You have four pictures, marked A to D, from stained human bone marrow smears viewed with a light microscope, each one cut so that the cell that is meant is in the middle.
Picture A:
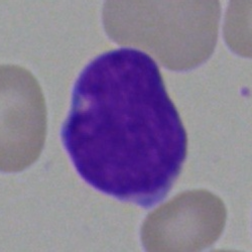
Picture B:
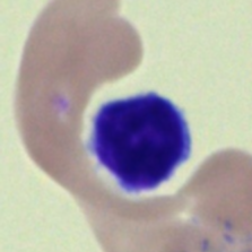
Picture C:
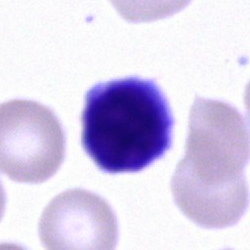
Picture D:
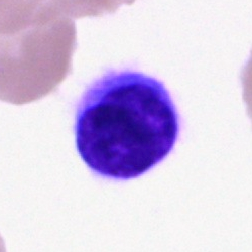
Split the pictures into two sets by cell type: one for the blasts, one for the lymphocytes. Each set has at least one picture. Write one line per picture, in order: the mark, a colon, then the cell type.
A: blast
B: lymphocyte
C: lymphocyte
D: lymphocyte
